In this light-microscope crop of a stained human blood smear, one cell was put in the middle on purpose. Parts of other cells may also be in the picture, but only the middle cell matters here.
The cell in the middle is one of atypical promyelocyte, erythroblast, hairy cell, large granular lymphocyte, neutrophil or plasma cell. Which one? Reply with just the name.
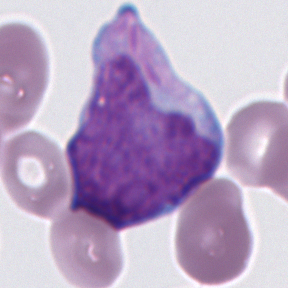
atypical promyelocyte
